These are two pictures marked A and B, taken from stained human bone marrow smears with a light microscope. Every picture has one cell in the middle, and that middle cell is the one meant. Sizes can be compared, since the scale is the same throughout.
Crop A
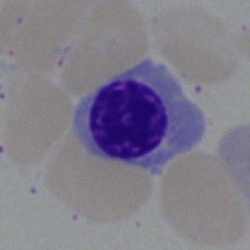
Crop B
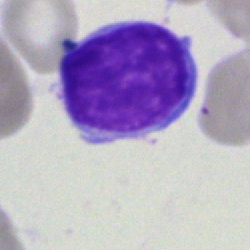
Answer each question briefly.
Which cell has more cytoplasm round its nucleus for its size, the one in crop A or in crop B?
A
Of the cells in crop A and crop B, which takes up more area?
B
